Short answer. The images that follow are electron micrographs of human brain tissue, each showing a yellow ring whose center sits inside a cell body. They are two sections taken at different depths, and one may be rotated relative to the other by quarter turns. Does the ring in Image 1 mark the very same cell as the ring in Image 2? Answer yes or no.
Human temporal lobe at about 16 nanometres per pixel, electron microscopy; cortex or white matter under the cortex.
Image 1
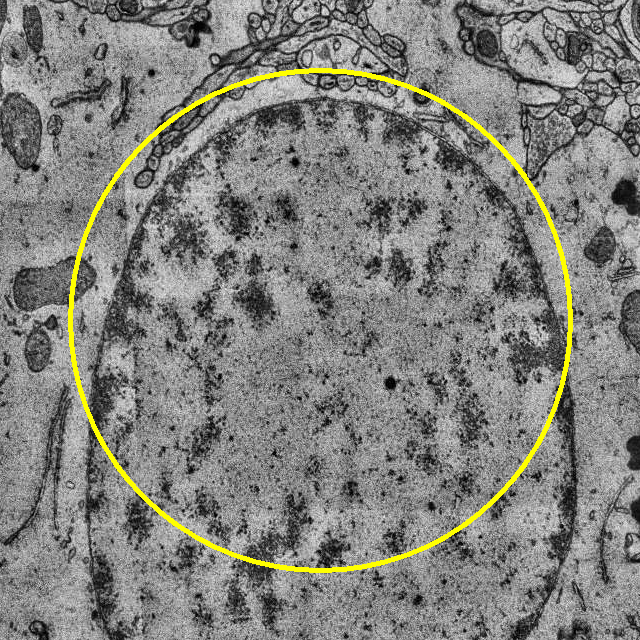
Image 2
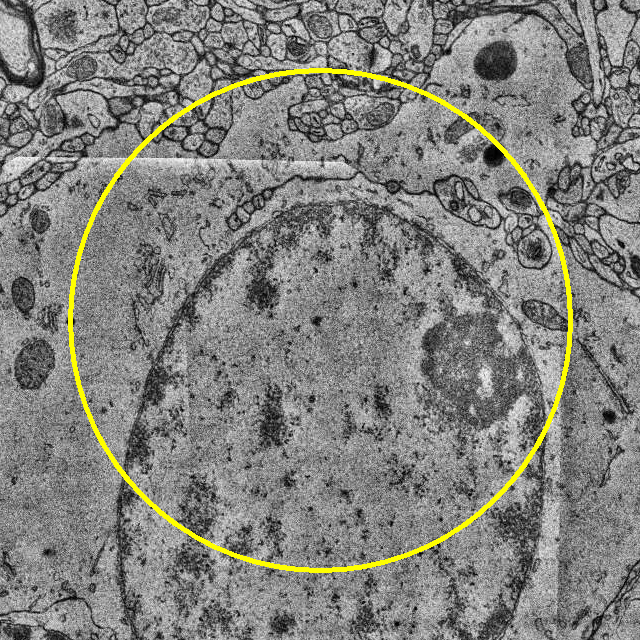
yes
